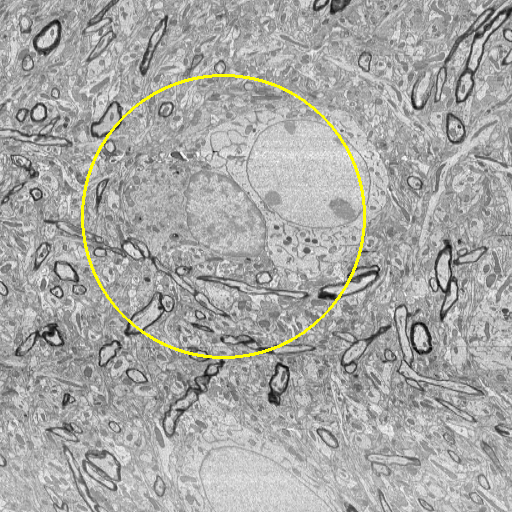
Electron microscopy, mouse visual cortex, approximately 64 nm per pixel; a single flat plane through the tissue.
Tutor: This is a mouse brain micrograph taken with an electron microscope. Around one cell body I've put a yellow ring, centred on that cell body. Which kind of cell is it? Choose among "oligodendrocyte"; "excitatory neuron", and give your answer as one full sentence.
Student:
Going by your list, the cell centred in the yellow ring is an oligodendrocyte.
